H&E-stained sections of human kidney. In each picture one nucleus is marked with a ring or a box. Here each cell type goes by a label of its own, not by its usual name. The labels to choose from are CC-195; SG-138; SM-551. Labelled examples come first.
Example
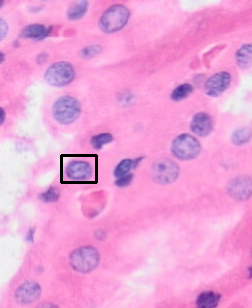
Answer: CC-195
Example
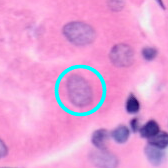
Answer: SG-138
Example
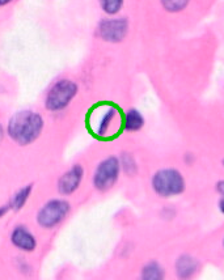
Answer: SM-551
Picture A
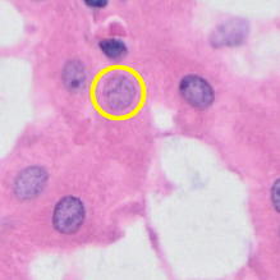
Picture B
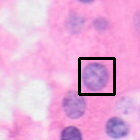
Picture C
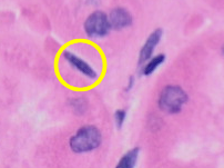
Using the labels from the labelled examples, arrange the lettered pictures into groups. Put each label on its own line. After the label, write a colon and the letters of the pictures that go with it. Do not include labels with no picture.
SG-138: A, B
SM-551: C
